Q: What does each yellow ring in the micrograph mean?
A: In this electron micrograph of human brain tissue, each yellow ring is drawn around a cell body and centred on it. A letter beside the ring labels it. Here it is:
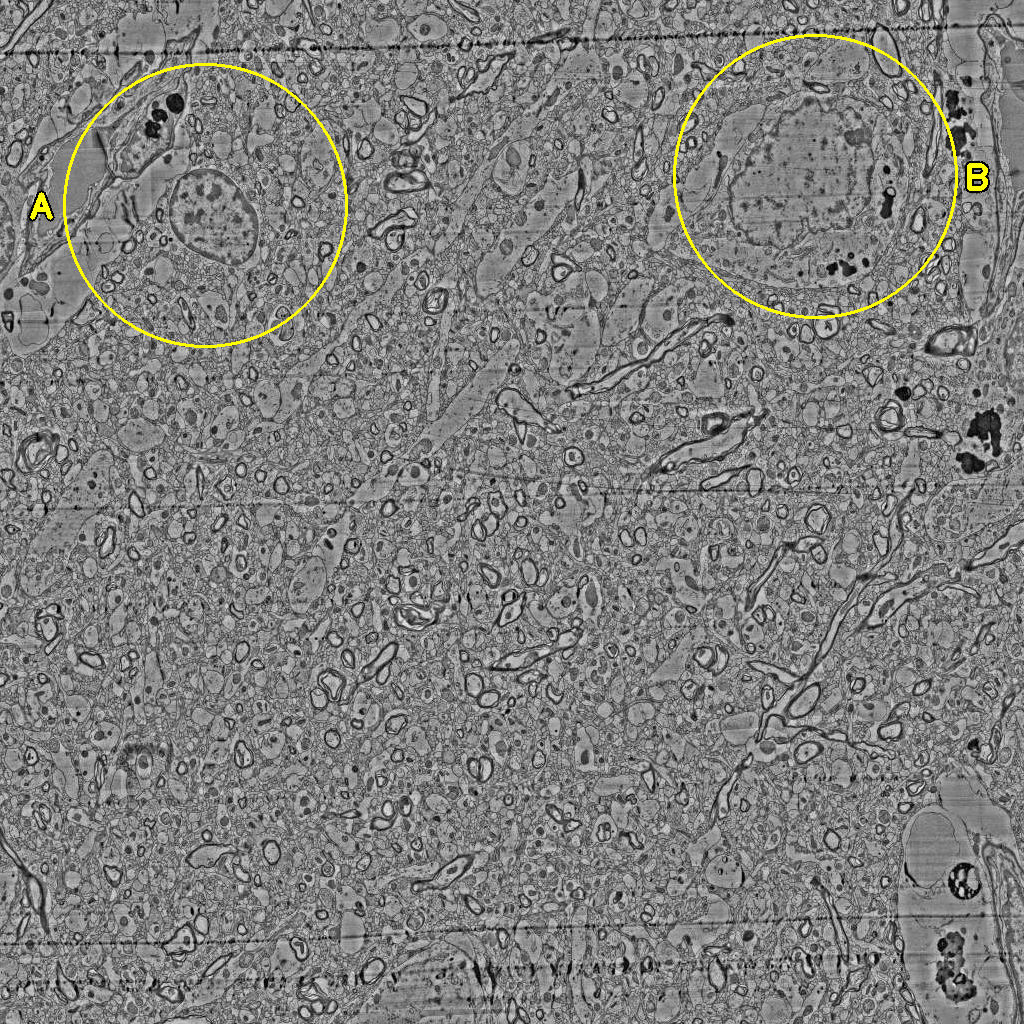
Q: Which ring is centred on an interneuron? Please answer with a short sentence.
Ring B is the one centred on it.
